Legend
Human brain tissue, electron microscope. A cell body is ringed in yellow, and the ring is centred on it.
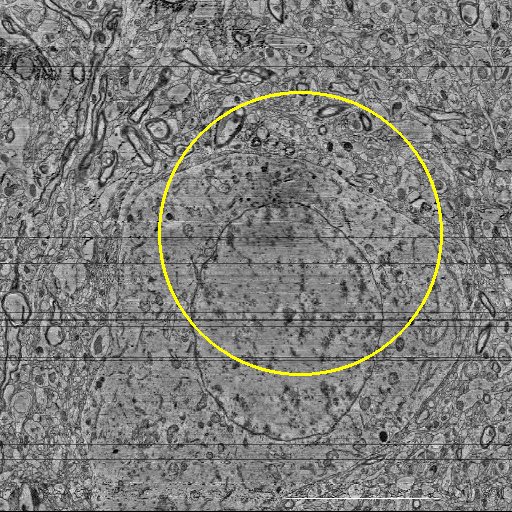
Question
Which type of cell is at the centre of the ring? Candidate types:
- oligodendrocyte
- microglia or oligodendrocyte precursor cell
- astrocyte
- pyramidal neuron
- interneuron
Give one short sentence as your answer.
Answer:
The yellow ring is centred here on a pyramidal neuron.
